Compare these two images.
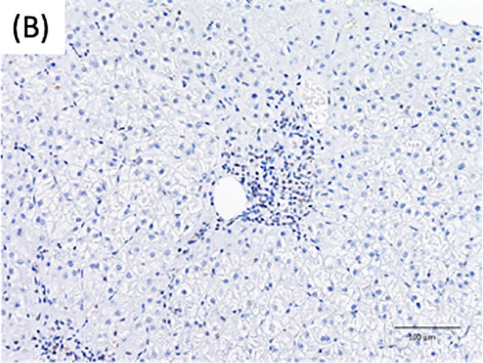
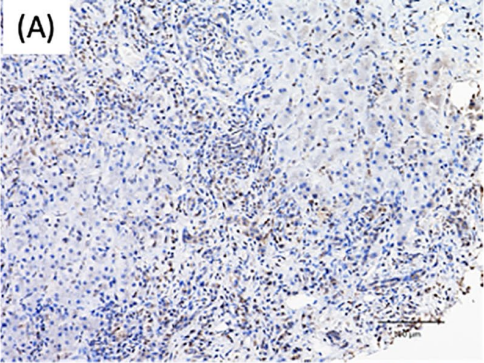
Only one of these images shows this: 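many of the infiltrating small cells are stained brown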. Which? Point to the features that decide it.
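The second image. First image: a cluster of small cells around a vessel shows blue nuclei and almost no brown. Second image: broad bands of small infiltrating cells show frequent brown staining.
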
